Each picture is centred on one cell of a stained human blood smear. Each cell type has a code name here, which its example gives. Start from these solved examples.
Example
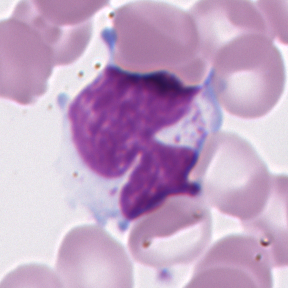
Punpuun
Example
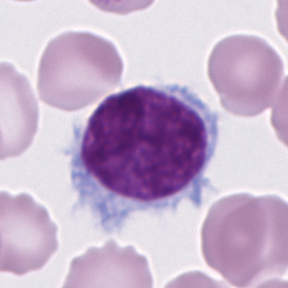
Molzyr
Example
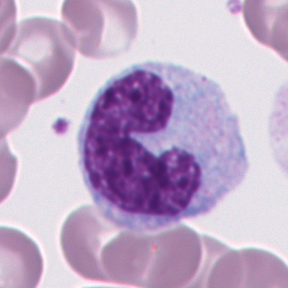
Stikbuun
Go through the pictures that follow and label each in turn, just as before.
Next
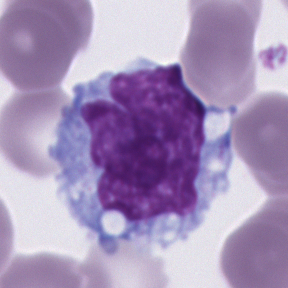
Stikbuun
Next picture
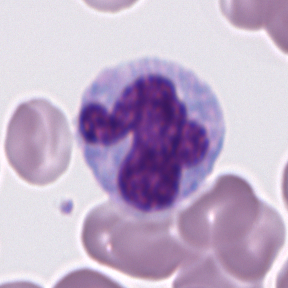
Stikbuun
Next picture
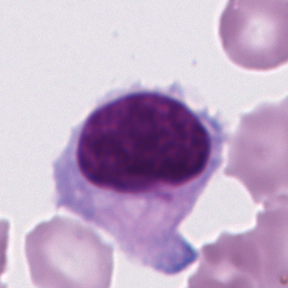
Molzyr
